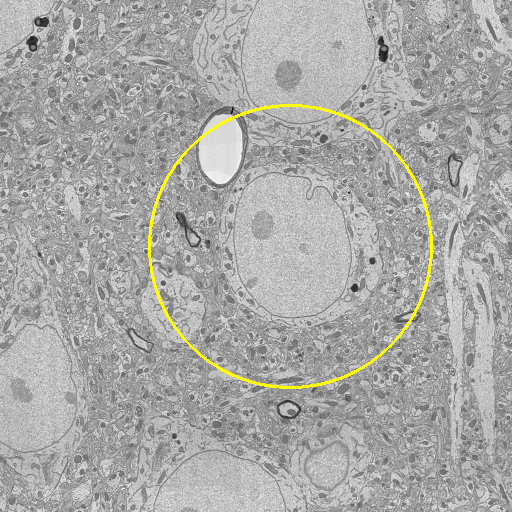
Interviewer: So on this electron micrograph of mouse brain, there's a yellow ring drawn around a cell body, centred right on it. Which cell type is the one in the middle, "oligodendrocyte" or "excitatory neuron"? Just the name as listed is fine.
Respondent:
excitatory neuron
